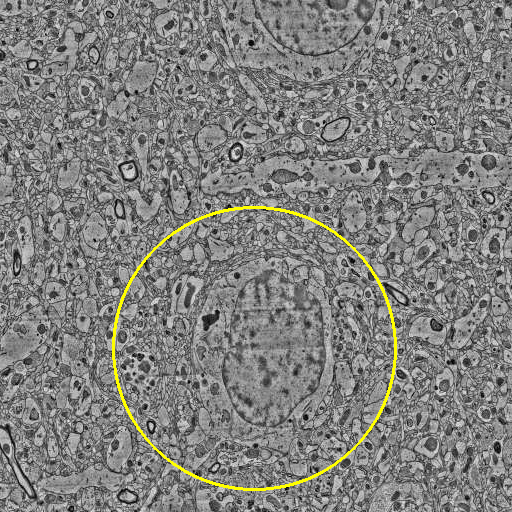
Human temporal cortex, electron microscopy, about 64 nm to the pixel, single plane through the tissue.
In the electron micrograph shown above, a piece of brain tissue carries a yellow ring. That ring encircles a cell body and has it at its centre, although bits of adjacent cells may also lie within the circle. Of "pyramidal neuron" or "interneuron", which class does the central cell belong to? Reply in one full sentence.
The cell body at the centre of the yellow ring belongs to an interneuron.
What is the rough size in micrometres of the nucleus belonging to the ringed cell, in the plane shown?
About 10 by 6 micrometers in this plane, so the nucleus is clearly longer than it is wide.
